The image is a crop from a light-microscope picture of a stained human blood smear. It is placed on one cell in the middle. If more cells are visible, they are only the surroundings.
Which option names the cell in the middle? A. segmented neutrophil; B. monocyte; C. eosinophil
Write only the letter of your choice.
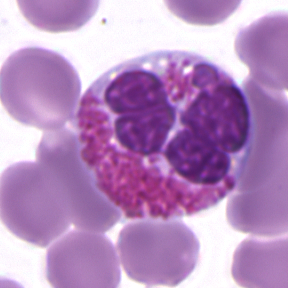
C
